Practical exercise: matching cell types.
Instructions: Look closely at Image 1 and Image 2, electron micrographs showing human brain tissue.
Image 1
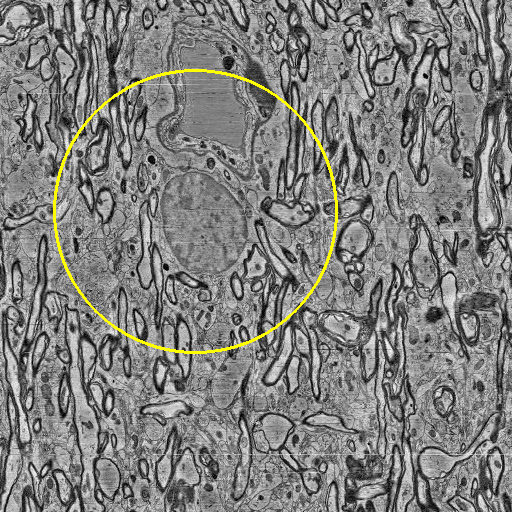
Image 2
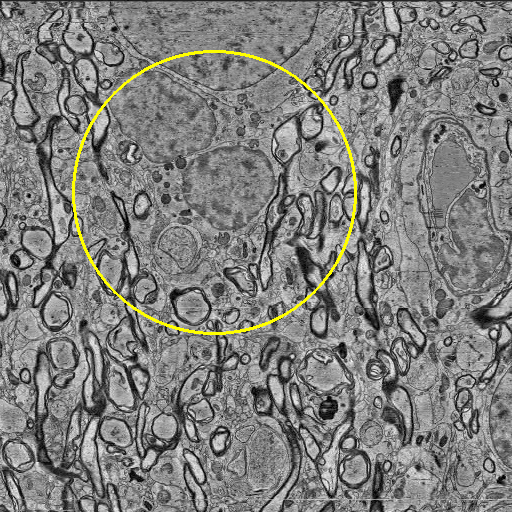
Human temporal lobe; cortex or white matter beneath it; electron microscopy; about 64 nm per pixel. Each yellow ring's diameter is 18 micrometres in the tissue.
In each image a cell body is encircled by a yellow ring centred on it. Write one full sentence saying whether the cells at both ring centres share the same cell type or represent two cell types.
Across Image 1 and Image 2, the cells at the ring centres share the same cell type.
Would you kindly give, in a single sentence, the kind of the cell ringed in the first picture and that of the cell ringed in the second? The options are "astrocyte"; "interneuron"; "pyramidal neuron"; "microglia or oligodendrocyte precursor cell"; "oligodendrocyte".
Each cell, in the first picture and the second, is an oligodendrocyte.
